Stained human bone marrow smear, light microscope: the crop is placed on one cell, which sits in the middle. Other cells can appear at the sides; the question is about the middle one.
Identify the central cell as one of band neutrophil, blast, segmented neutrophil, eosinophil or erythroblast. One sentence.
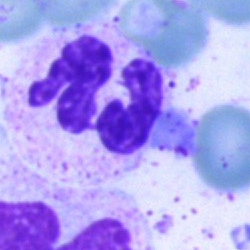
Whatever else lies nearby, the middle cell is a segmented neutrophil.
